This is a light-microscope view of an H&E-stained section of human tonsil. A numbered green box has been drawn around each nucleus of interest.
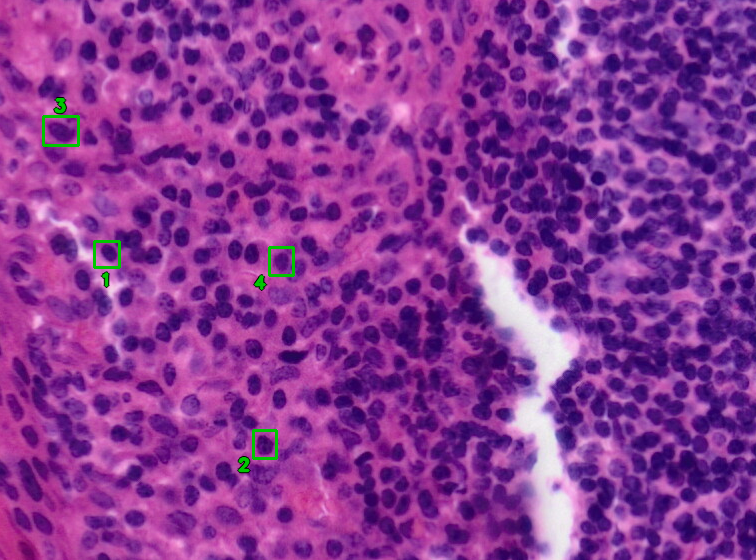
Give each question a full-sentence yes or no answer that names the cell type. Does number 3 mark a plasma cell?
No, cell 3 is correctly identified as a squamous epithelial cell and not as a plasma cell.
